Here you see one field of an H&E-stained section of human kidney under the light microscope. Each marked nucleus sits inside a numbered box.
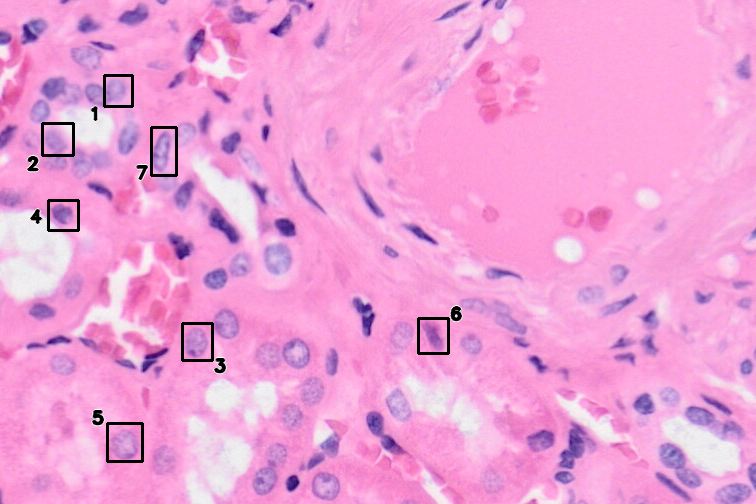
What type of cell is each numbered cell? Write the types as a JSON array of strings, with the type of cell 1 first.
["collecting duct cell", "collecting duct cell", "proximal tubule cell", "loop of Henle or distal tubule cell", "proximal tubule cell", "proximal tubule cell", "collecting duct cell"]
